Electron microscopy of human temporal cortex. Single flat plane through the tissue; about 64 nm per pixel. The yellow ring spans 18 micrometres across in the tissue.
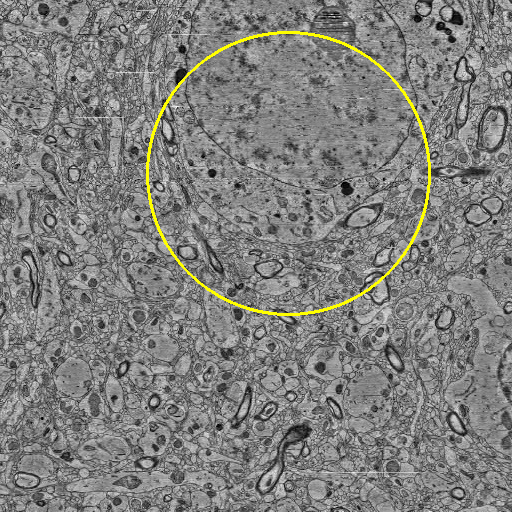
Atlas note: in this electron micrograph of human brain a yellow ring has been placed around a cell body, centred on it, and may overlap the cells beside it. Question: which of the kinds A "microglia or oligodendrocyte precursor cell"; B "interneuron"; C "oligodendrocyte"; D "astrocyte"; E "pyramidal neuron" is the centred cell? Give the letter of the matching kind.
E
